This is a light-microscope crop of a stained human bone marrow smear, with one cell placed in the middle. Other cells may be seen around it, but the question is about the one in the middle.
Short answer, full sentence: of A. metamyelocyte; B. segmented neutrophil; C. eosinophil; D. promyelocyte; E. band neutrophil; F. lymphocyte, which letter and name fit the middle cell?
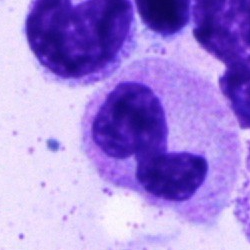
The right choice is option E: the cell in the middle is a band neutrophil.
